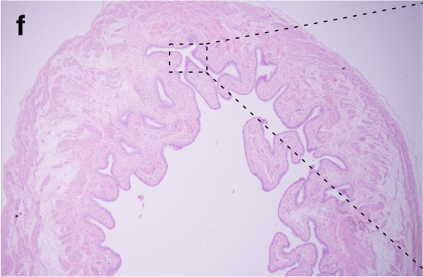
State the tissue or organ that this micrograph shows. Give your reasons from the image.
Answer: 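A hollow organ wall with a folded mucosa lining a large lumen. A thin lining layer over a thick pale wall.
Answer: bladder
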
